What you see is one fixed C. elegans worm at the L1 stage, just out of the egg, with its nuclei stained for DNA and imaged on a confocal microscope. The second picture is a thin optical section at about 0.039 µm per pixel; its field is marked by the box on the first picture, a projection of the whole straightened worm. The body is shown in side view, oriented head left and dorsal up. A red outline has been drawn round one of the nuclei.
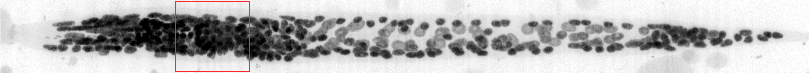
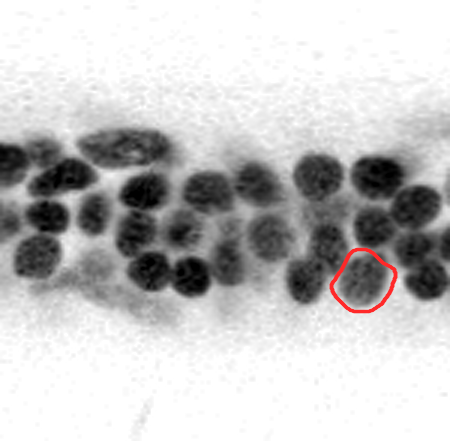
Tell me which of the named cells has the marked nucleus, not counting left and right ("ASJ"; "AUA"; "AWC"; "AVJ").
ASJ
